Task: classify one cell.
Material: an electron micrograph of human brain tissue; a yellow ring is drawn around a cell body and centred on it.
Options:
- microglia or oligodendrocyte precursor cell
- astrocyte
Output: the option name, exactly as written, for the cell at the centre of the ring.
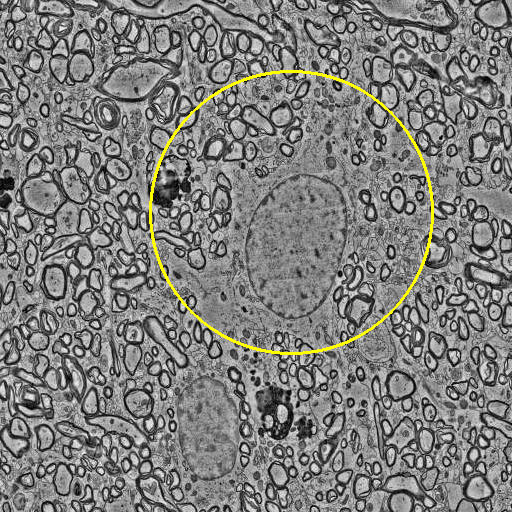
astrocyte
